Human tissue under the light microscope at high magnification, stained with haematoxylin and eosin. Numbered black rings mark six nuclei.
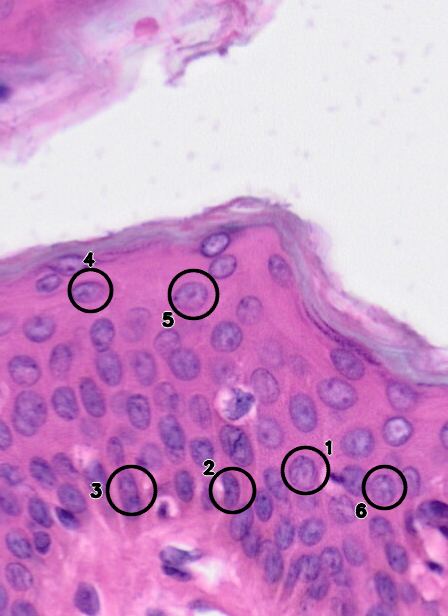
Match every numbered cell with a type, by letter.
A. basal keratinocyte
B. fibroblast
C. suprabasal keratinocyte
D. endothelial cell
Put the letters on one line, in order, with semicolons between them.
C; A; A; C; C; C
